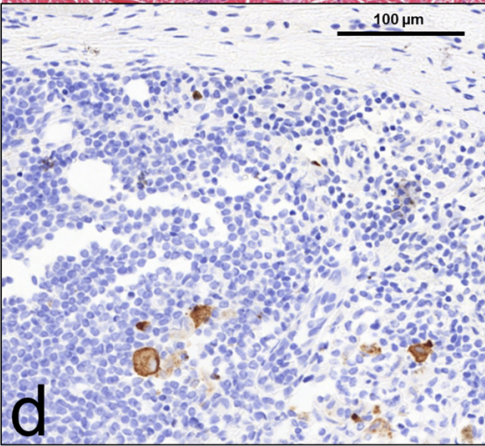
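Lymph node tissue packed with small round cells with dark blue nuclei and little cytoplasm, bordered at the top by a pale band of fibrous capsule with spindle nuclei. Scattered among the small cells are a few single larger cells whose cytoplasm is stained brown; one near the lower left is round with a clear central nucleus ringed by brown. A few small open spaces, likely sinuses or vessels, interrupt the dense sheet.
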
